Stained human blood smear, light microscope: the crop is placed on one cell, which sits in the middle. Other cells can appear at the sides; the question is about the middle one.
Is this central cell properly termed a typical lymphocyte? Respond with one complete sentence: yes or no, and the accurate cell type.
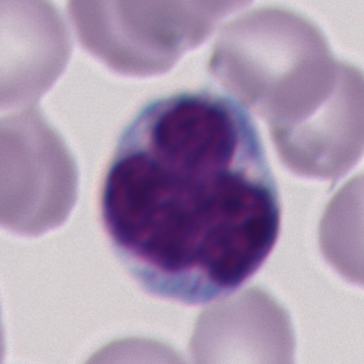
Yes, the cell shown in the middle is a typical lymphocyte.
